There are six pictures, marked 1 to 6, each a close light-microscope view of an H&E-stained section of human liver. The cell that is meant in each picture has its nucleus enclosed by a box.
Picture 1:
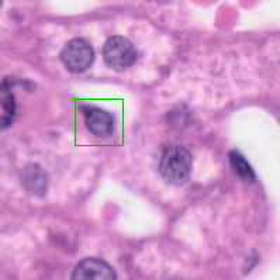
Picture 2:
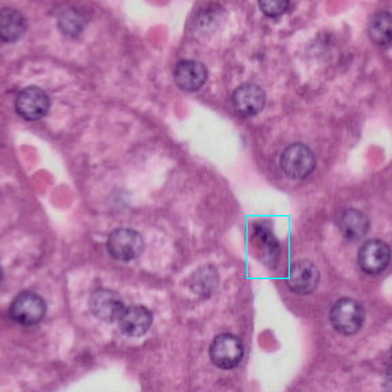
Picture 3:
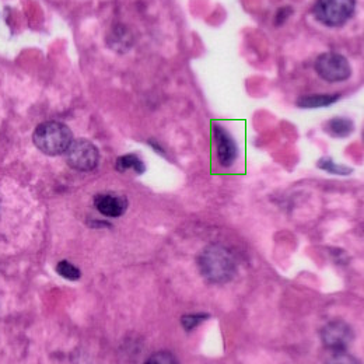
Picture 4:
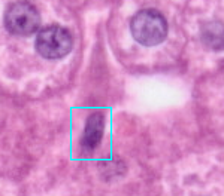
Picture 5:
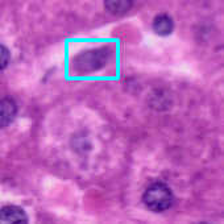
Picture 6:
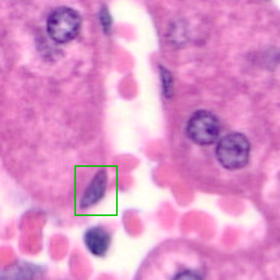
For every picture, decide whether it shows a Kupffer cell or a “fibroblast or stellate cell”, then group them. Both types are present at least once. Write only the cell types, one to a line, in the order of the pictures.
Kupffer cell
Kupffer cell
fibroblast or stellate cell
Kupffer cell
Kupffer cell
fibroblast or stellate cell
